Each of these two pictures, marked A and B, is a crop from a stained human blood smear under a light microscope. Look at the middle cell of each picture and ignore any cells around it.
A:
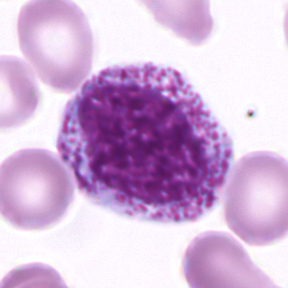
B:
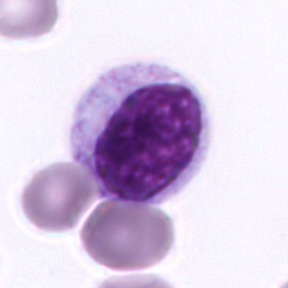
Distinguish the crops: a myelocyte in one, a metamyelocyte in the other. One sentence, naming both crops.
Displayed in crop A is a myelocyte, while crop B displays a metamyelocyte.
